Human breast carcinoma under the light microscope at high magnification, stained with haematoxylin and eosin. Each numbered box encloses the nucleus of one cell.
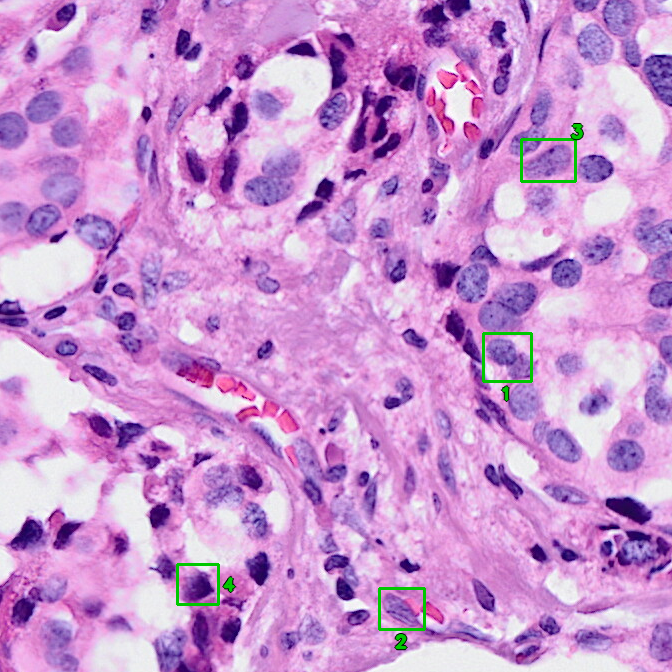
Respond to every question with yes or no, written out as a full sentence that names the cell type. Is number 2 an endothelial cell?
Yes, correct, the cell with the number 2 is an endothelial cell.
